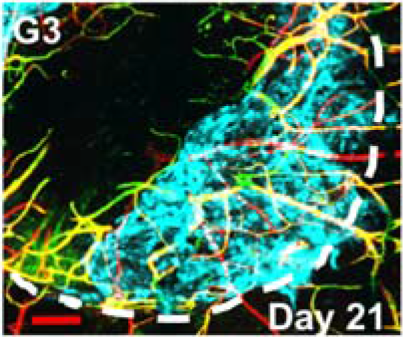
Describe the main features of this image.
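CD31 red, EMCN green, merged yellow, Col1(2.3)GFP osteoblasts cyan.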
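The vessels appear as fine red, yellow and green threads, many running from the left toward the cyan region and branching over it. The cyan layer is granular and fairly continuous, with a sharper margin toward the dark upper left. Outside the dashed curve the field is largely dark with only scattered vessels.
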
